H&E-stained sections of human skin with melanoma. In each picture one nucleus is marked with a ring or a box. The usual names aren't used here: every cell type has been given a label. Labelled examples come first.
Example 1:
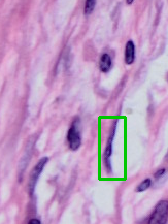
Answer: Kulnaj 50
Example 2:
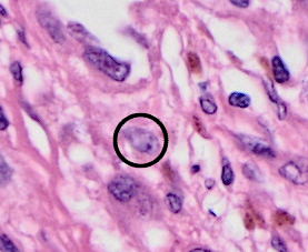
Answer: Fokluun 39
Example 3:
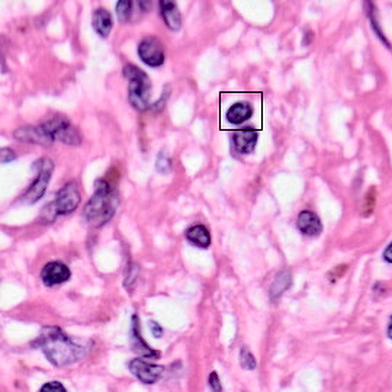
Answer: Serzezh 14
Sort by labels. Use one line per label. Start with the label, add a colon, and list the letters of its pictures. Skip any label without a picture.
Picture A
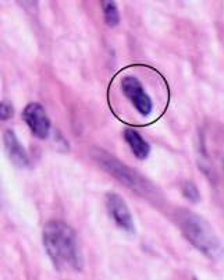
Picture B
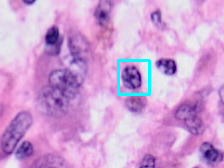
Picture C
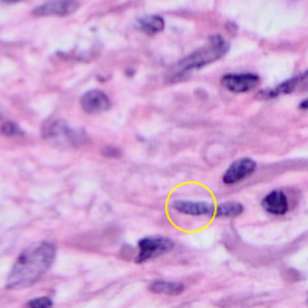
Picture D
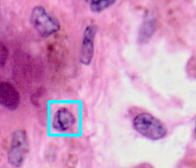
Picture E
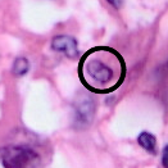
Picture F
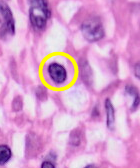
Kulnaj 50: C
Fokluun 39: E
Serzezh 14: A, B, D, F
